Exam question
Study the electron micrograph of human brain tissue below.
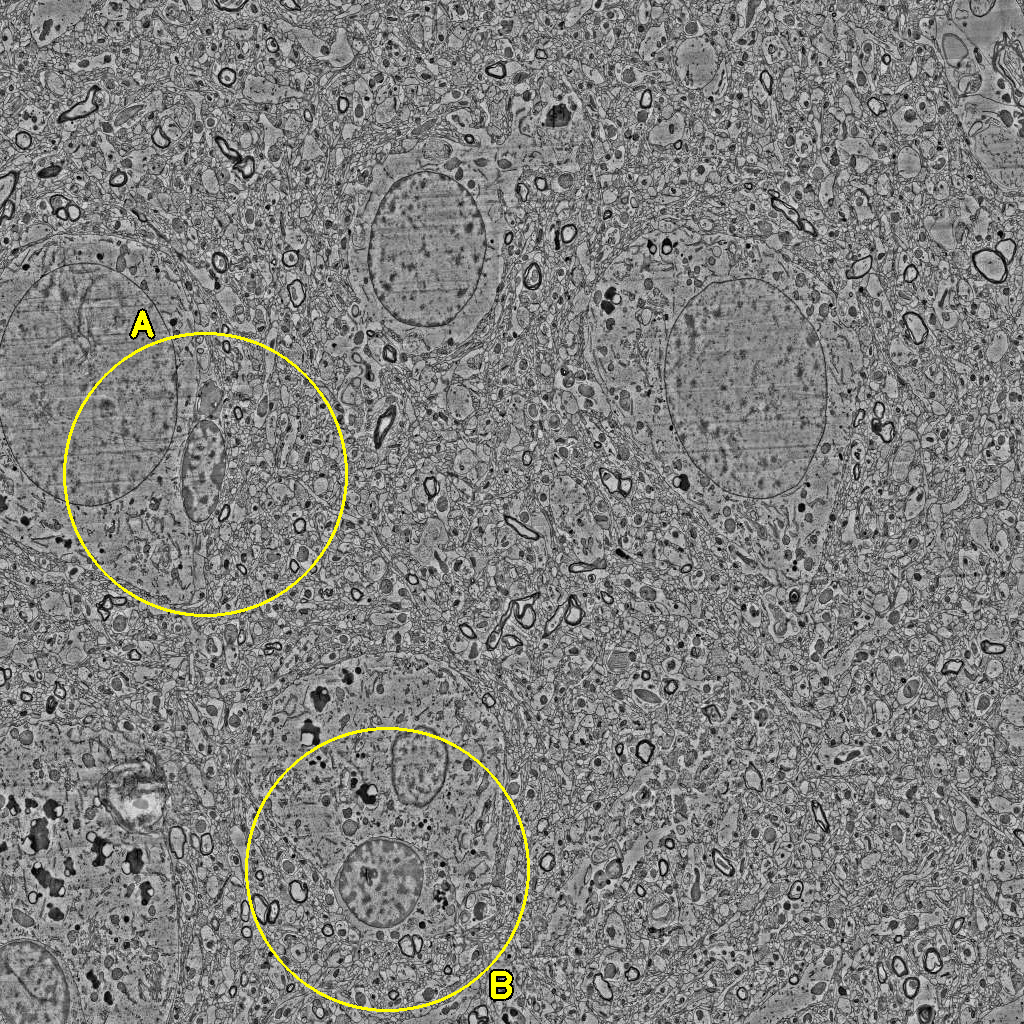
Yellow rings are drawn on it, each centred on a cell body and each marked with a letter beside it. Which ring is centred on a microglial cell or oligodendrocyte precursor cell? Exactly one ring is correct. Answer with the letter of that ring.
A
